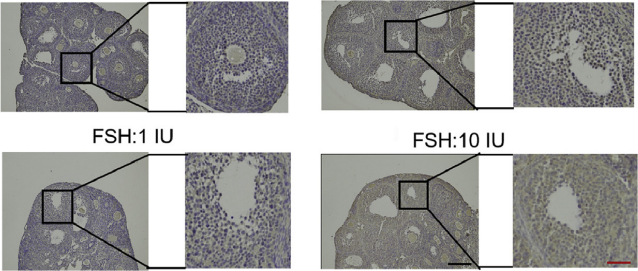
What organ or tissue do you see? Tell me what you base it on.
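Low-power sections show many rounded follicles of different sizes set in stroma. Enlarged views show a fluid-filled cavity ringed by many layers of small, tightly packed cells. So: ovaries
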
